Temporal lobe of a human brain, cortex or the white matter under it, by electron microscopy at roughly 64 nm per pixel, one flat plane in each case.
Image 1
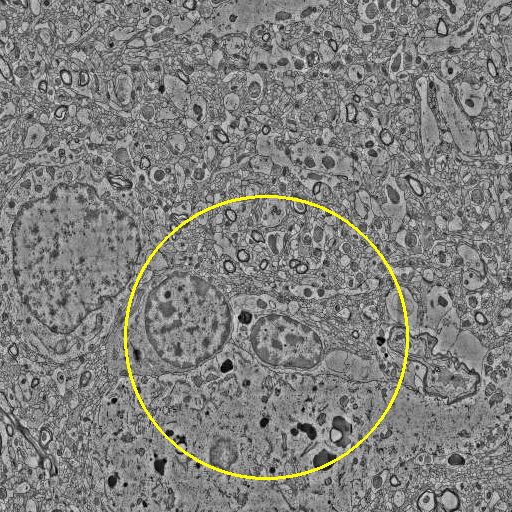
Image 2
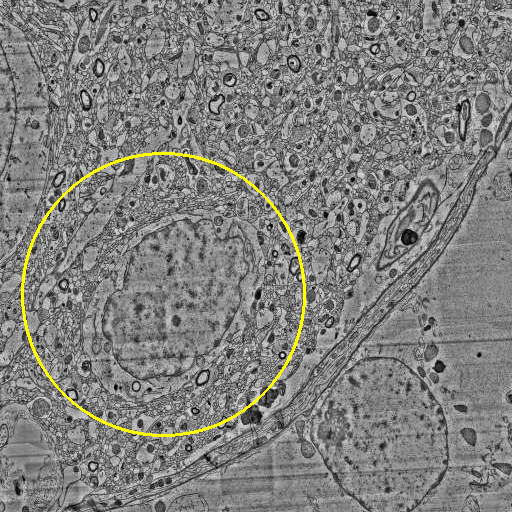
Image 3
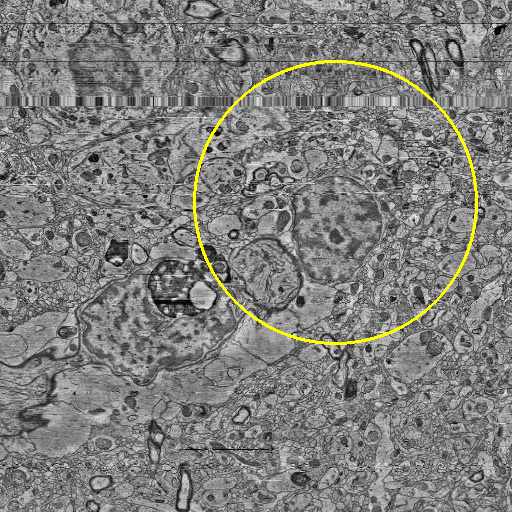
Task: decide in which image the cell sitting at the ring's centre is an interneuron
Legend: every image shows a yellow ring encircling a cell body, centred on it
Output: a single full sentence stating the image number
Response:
In image 2, the cell at the middle of the ring is the match.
